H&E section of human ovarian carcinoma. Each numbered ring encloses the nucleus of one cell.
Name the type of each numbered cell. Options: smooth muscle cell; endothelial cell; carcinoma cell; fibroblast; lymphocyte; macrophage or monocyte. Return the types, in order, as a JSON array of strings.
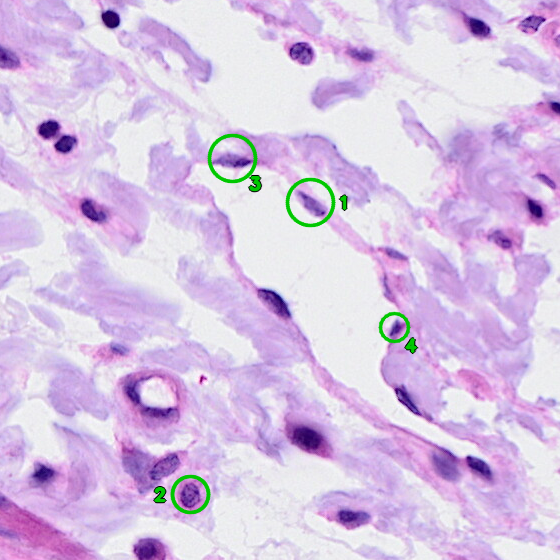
["endothelial cell", "macrophage or monocyte", "endothelial cell", "endothelial cell"]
